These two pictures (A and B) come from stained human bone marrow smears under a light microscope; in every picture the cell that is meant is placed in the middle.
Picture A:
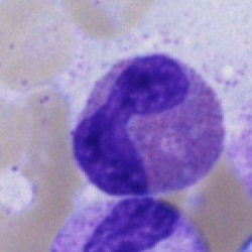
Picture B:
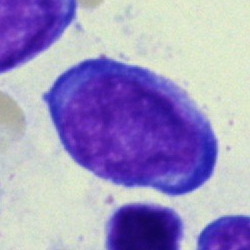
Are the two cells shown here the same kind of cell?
no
